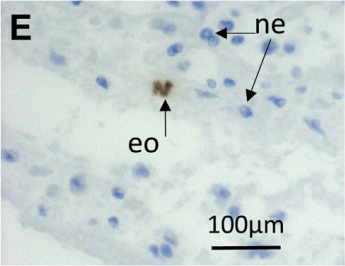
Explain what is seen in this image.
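The eosinophil stands out by its small irregular cluster of brown-stained cytoplasm. Around it lie numerous scattered blue nuclei of unstained cells, among them neutrophils, set in a pale, loosely textured tissue. The brown-stained cell is the only one of its kind in the field, showing how few of these cells are present.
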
